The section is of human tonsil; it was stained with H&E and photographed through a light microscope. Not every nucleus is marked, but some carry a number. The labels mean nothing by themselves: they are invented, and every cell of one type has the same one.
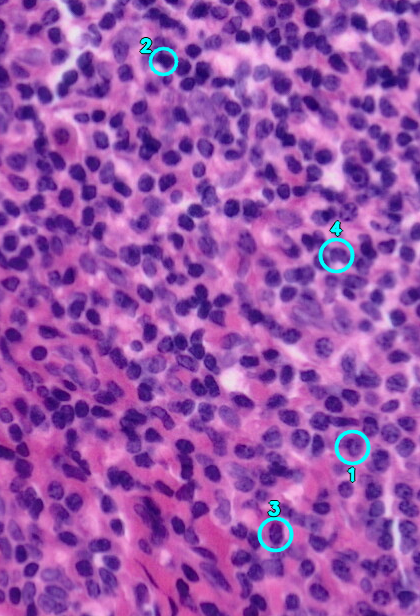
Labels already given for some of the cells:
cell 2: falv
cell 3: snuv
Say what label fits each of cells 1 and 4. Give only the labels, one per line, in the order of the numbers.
snuv
falv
